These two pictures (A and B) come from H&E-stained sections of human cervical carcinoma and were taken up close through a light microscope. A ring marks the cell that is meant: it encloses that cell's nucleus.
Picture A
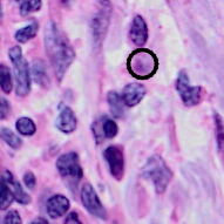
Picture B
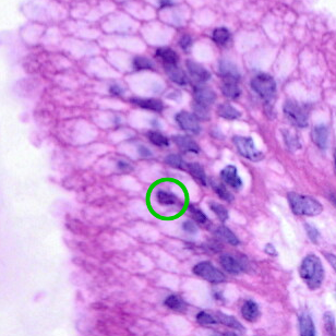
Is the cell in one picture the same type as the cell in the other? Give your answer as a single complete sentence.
No, picture A shows a “macrophage or monocyte” and picture B shows a secretory epithelial cell.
